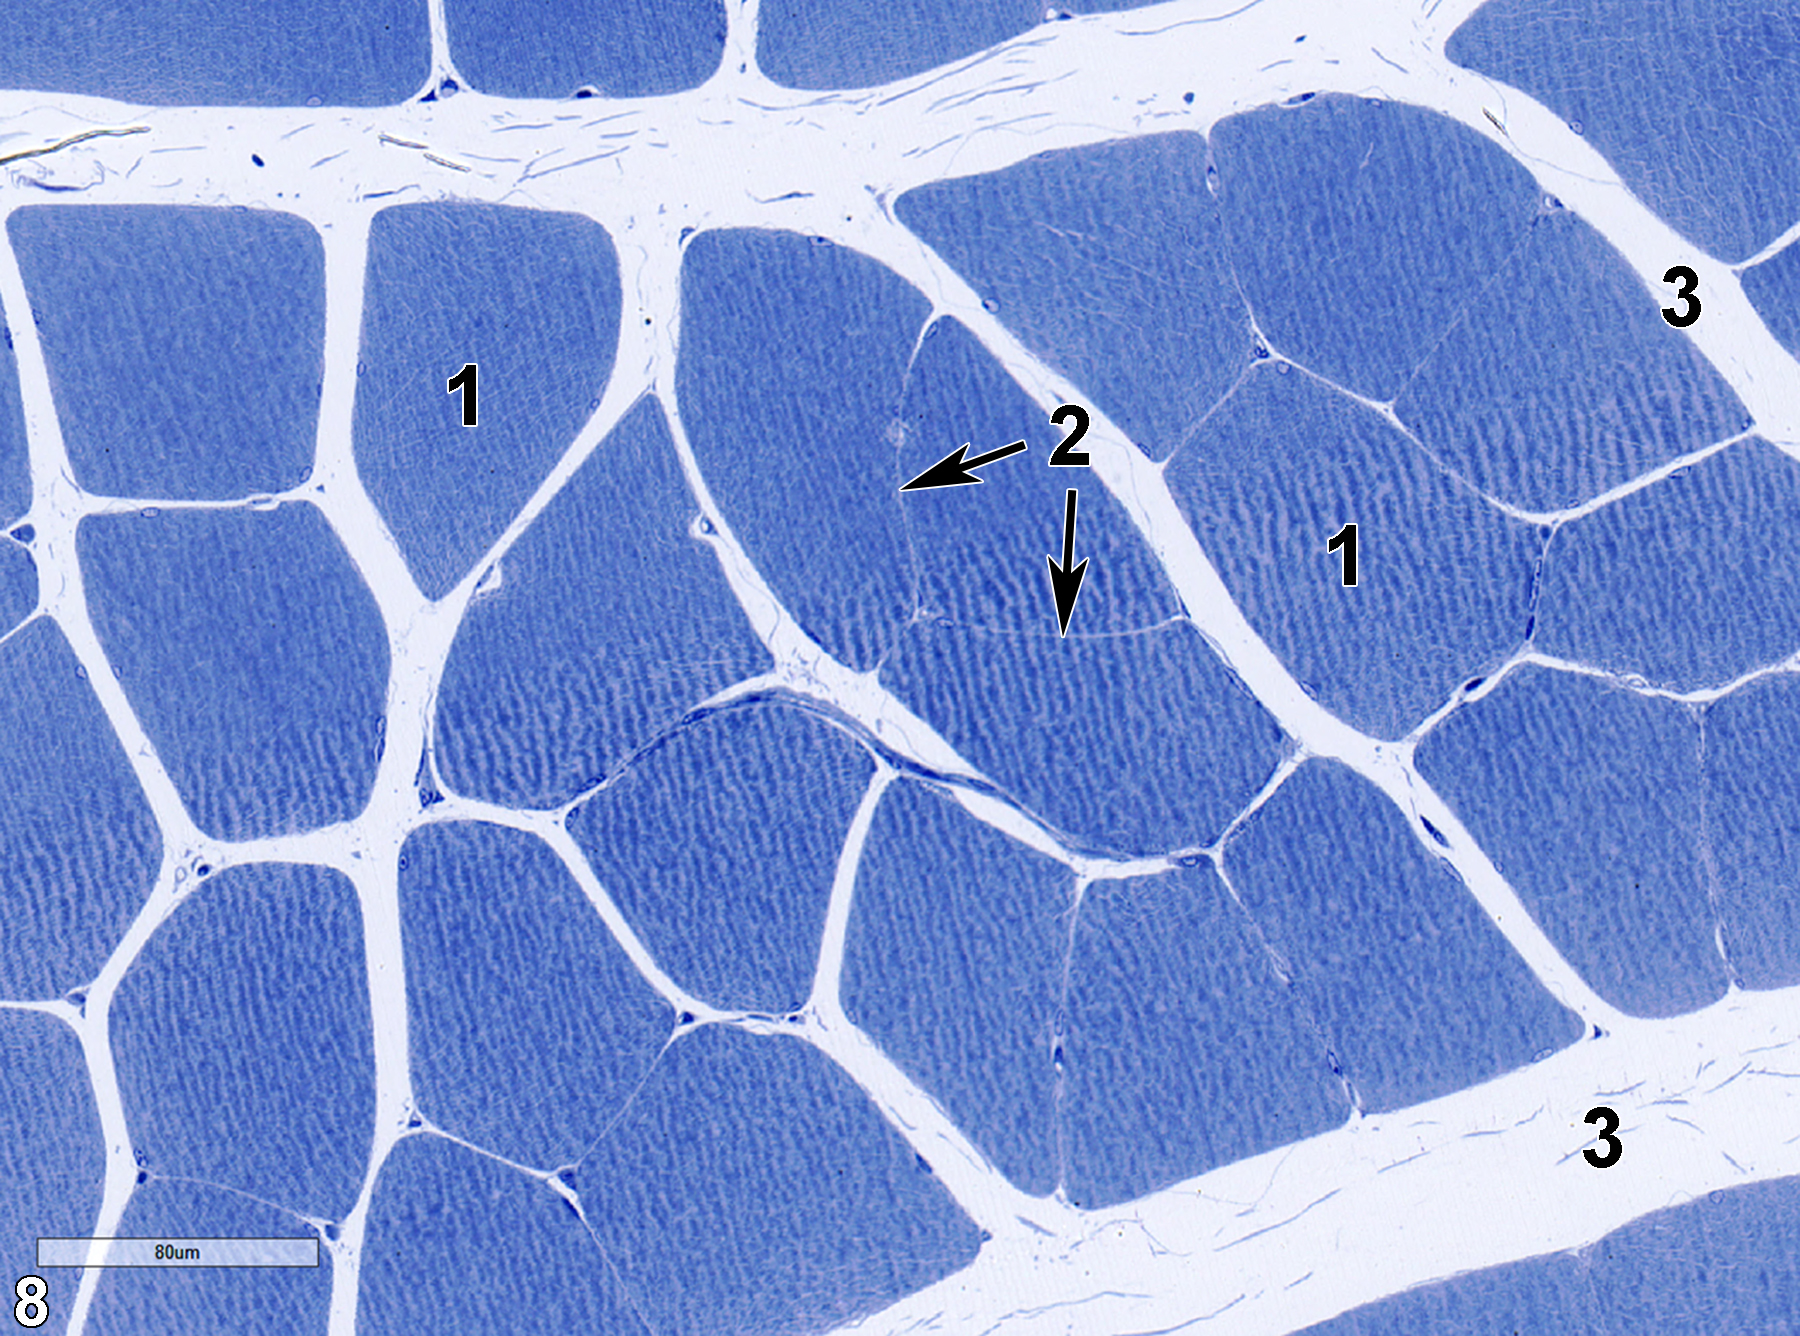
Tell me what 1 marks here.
1 marks the myocytes.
